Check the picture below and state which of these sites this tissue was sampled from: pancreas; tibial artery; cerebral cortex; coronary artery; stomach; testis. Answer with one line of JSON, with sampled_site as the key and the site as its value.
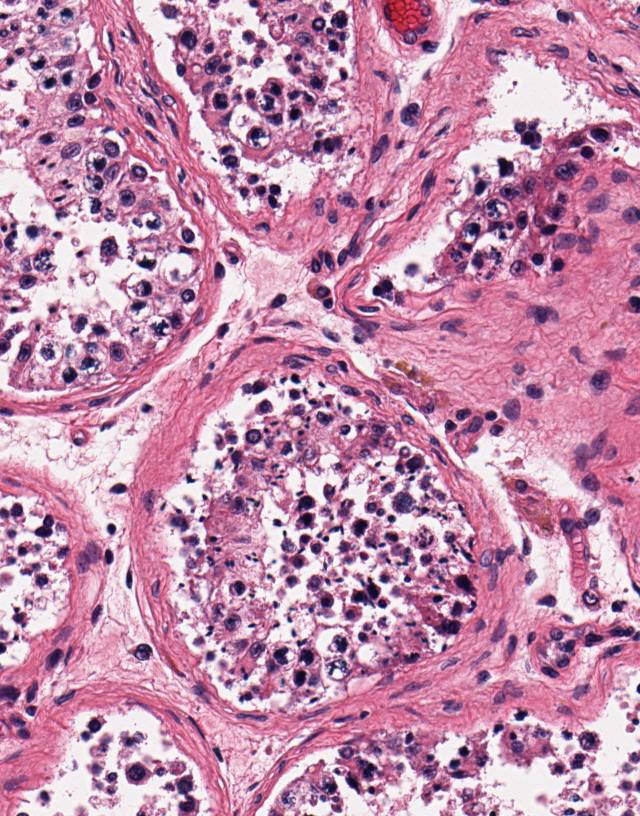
{"sampled_site": "testis"}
